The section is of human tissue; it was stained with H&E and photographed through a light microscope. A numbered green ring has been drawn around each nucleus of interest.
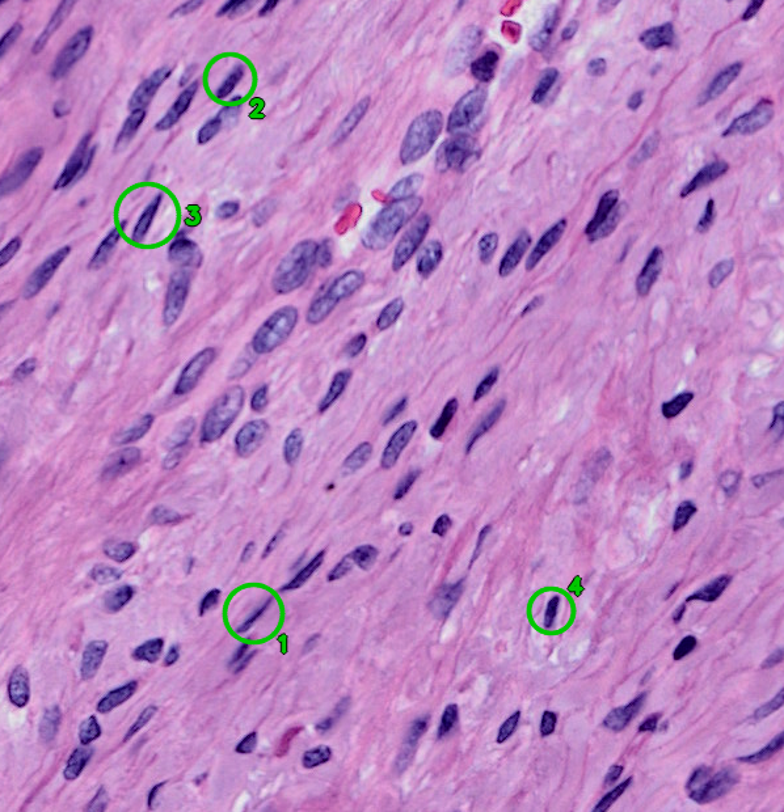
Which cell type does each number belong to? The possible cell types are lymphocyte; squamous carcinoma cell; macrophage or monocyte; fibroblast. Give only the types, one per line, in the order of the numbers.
fibroblast
fibroblast
fibroblast
lymphocyte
